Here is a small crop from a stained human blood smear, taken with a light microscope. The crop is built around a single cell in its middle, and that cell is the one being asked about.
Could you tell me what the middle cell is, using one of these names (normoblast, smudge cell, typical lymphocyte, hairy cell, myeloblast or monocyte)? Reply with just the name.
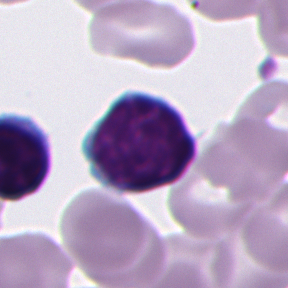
typical lymphocyte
